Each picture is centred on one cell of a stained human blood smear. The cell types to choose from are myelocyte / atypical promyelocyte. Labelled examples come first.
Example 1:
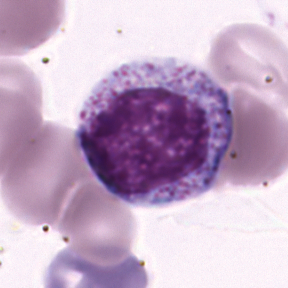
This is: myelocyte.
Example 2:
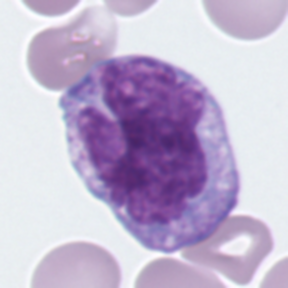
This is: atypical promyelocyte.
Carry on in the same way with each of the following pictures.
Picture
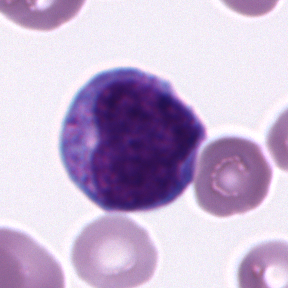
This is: atypical promyelocyte.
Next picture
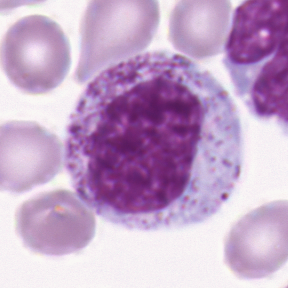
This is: myelocyte.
